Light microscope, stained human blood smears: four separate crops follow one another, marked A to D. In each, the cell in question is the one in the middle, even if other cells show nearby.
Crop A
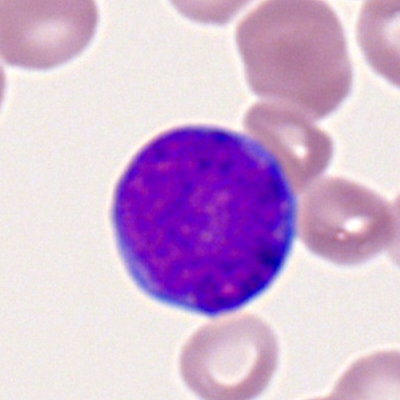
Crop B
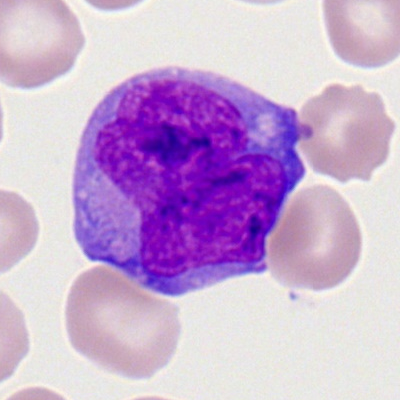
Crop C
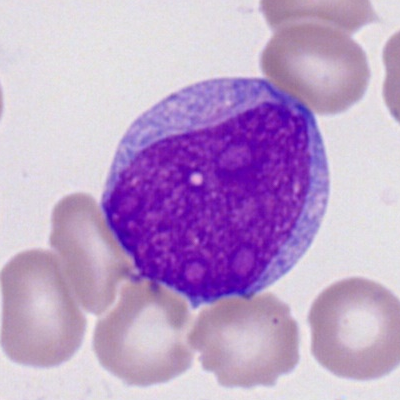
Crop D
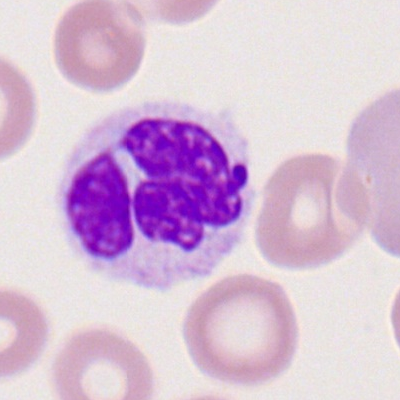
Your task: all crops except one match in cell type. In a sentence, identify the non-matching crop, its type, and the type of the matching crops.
The different one is crop D, which is a monocyte; the rest all show myeloblasts.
